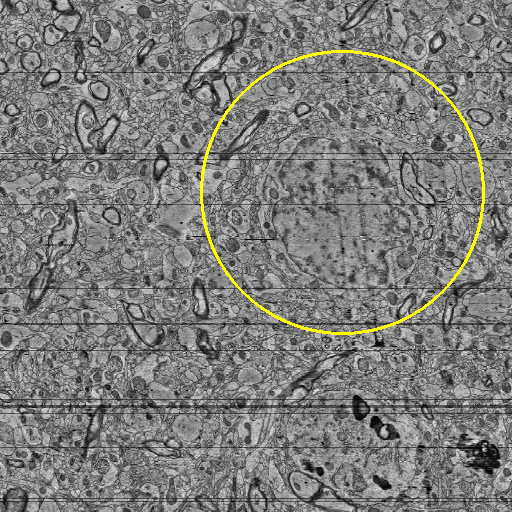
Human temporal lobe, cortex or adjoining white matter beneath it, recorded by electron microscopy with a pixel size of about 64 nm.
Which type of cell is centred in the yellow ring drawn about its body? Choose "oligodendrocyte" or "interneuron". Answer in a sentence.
The yellow ring surrounds the cell body of an interneuron.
